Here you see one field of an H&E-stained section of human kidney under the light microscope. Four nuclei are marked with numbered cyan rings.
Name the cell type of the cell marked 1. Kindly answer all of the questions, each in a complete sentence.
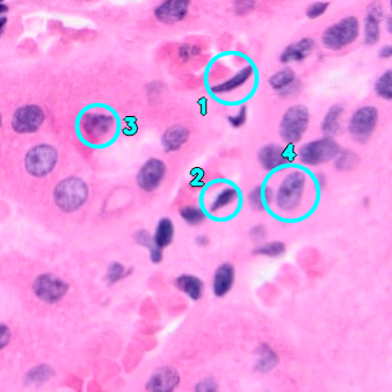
Number 1 is placed on an endothelial cell here.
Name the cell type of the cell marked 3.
Numbered cell 3 is a proximal tubule cell in this tissue section.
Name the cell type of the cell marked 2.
Nucleus 2 in this section belongs to an endothelial cell.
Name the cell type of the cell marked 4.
Cell 4, as marked in the section, is a collecting duct cell.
